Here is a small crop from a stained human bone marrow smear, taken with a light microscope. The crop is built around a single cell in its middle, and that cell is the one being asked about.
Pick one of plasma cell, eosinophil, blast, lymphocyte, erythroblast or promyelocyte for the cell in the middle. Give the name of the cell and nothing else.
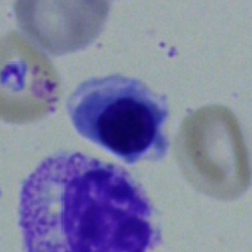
erythroblast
